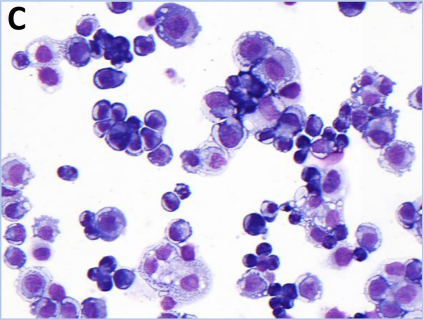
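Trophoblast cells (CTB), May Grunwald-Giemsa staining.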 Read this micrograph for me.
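The cells are rounded and vary in size. Larger cells have a round nucleus and a fair rim of pale, lilac-grey cytoplasm, some showing a faintly granular or vacuolated look. Among them lie groups of small, compact cells whose nuclei stain a dense dark violet with little visible cytoplasm; these tend to clump together.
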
